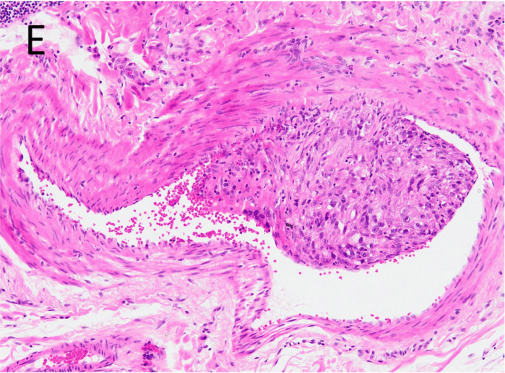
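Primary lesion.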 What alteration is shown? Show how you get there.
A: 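Venous invasion. A vessel with a thick muscular wall contains a cellular tumor mass in its lumen. Red blood cells lie beside the tumor within the lumen.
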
